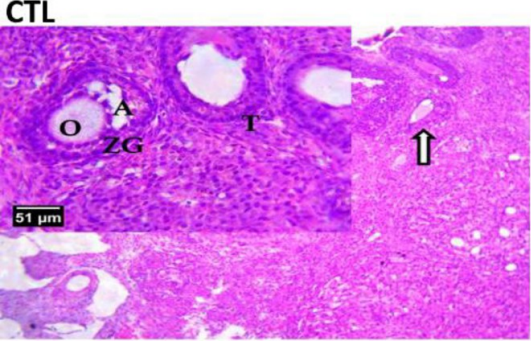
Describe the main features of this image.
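This section of ovarian tissue shows growing follicles set in a dense, cellular stroma stained pink and purple. In the enlarged view, a follicle holds a large round oocyte with pale pink cytoplasm, surrounded by several layers of small, tightly packed granulosa cells with dark purple nuclei. Clear, irregular spaces of the antrum open among the granulosa cells beside the oocyte. Outside the granulosa layer, flattened spindle-shaped thecal cells form concentric layers that merge with the stroma. Neighbouring follicles show larger, clear antral cavities lined by a continuous rim of granulosa cells.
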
